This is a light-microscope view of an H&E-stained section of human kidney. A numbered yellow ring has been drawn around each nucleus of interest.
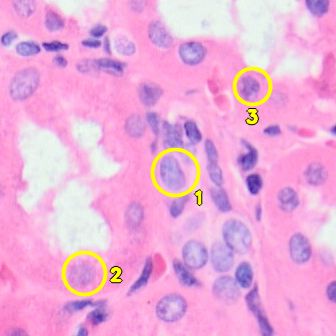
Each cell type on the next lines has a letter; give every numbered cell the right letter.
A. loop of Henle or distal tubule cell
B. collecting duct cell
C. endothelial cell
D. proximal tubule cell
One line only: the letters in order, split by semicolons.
B; D; A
